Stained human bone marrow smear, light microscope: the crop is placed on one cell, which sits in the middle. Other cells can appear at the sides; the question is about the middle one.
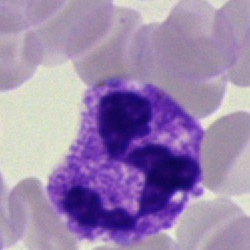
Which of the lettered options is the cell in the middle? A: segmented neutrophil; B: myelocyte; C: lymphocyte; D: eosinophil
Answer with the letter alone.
A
